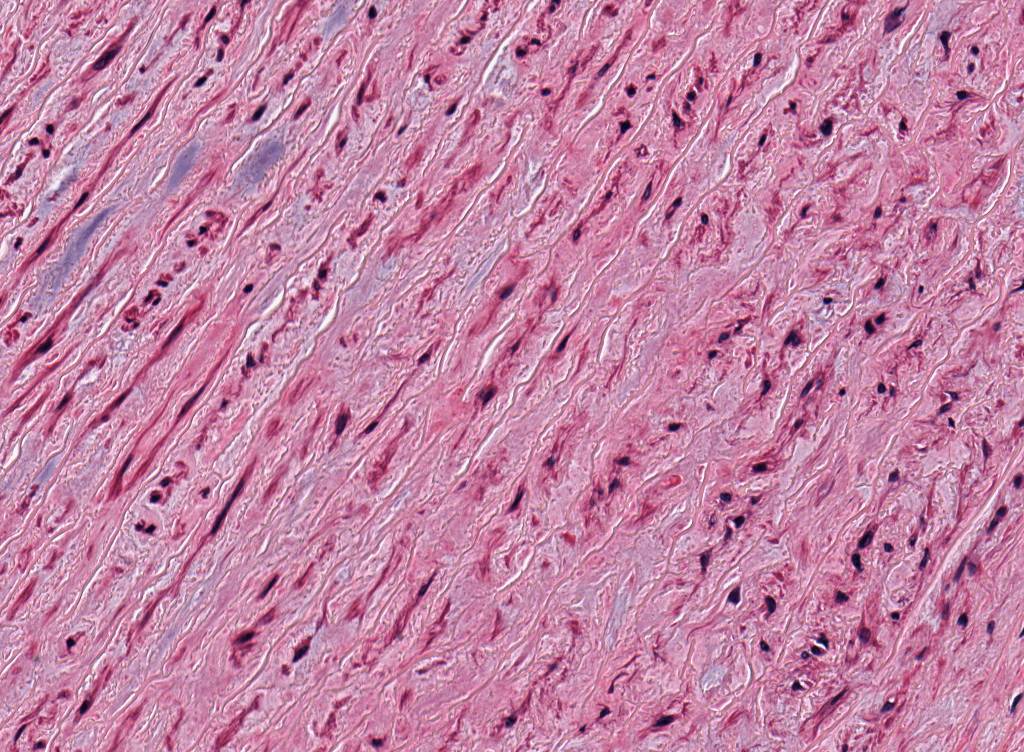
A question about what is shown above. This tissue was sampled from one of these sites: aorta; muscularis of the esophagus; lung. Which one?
aorta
